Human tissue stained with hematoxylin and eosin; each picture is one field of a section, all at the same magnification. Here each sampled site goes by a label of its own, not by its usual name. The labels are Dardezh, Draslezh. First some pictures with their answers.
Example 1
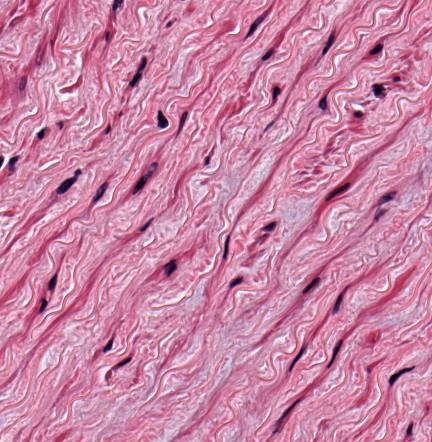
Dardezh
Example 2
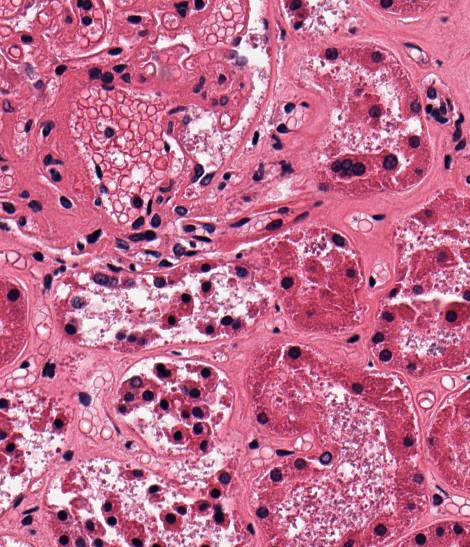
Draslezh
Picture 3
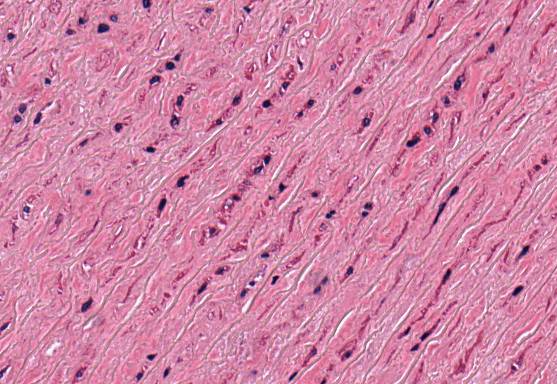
Dardezh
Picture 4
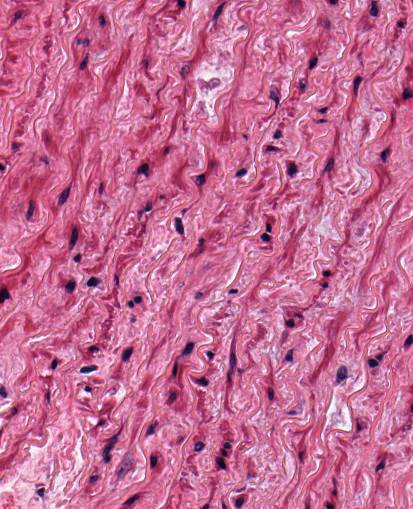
Dardezh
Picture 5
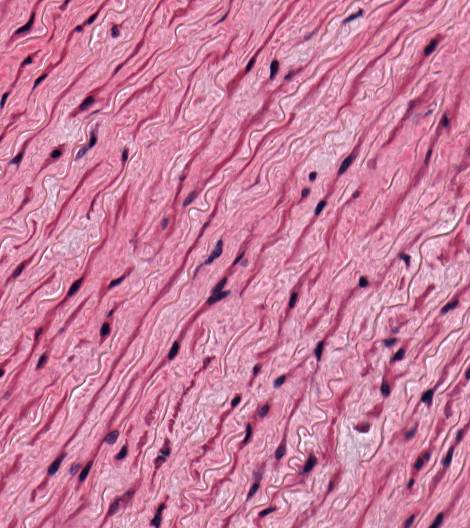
Dardezh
